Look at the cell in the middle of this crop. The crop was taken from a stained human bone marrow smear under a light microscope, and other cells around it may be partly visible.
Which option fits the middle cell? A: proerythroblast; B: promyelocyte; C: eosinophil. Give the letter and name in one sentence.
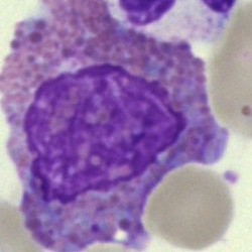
Identified correctly by option C, the cell in the middle is an eosinophil.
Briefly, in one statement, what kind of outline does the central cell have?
It is the contour of the cell that is irregular, being ragged or projecting outward.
